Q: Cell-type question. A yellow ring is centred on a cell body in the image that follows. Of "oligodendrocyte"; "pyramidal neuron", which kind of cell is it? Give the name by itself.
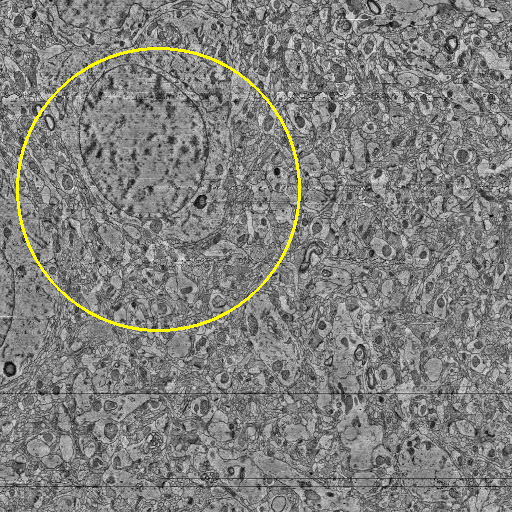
pyramidal neuron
